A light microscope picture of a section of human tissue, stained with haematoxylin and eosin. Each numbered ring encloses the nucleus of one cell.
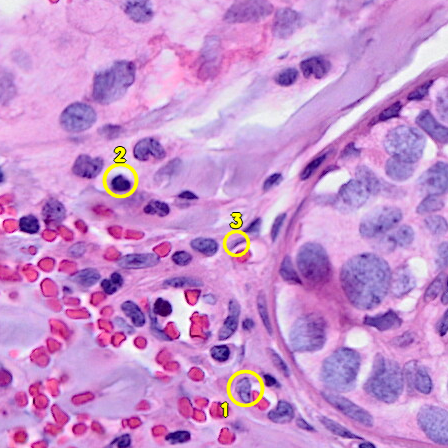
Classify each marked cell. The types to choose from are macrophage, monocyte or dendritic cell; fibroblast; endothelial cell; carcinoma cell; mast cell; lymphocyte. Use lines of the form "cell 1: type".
cell 1: endothelial cell
cell 2: lymphocyte
cell 3: endothelial cell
